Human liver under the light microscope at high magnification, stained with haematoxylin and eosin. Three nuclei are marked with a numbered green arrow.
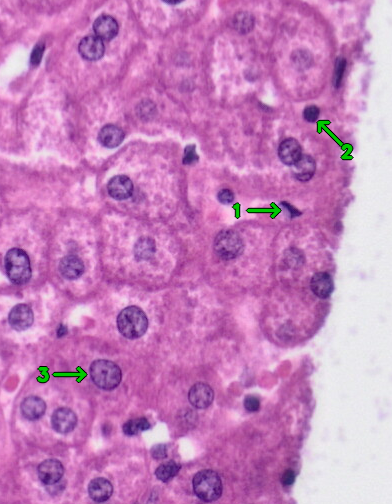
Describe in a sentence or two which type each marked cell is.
Cell 1 is an endothelial cell, cell 2 is a lymphocyte and cell 3 is a hepatocyte.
